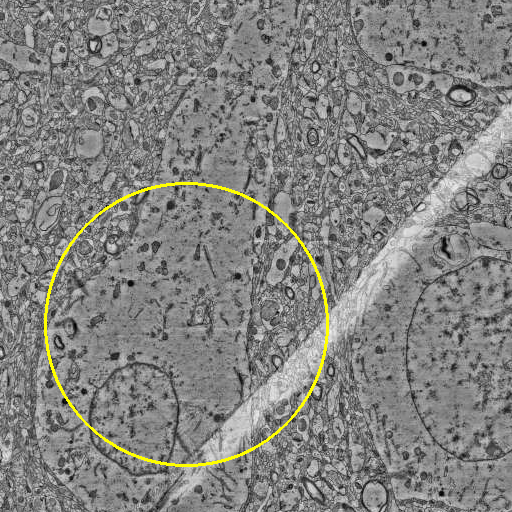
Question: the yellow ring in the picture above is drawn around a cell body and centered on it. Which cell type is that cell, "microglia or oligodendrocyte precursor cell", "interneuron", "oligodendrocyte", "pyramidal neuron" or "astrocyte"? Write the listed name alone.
pyramidal neuron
